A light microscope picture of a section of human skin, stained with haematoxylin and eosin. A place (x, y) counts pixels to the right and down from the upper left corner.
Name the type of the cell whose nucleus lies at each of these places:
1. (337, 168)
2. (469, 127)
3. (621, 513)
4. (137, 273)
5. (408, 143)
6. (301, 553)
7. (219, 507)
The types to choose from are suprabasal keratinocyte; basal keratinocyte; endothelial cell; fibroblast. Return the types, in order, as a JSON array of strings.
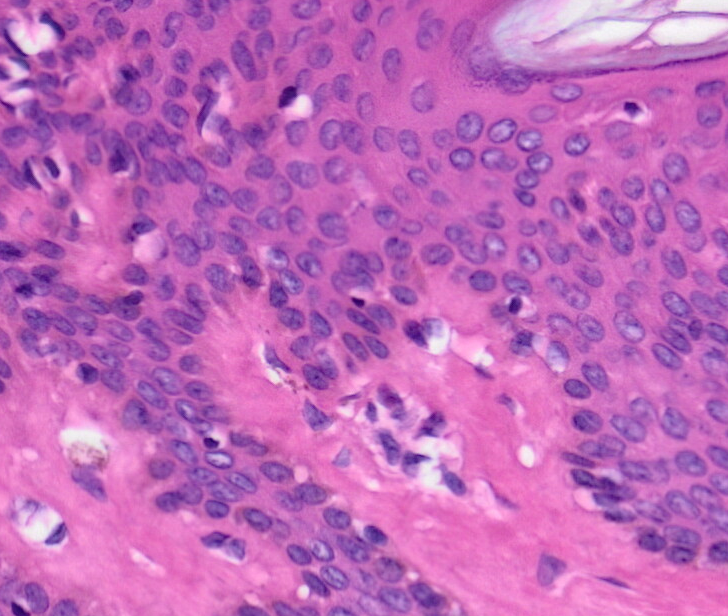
["suprabasal keratinocyte", "suprabasal keratinocyte", "basal keratinocyte", "basal keratinocyte", "suprabasal keratinocyte", "basal keratinocyte", "basal keratinocyte"]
